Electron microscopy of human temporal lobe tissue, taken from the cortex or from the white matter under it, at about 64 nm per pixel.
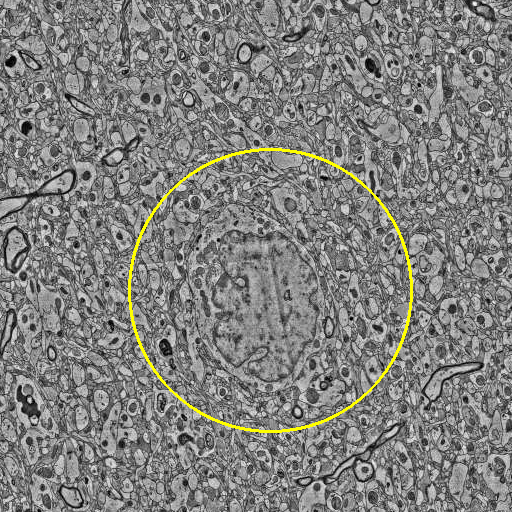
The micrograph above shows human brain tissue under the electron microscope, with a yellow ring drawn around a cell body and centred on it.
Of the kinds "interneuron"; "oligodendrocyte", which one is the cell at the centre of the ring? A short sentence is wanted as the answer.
The one at the centre of the ring is an interneuron.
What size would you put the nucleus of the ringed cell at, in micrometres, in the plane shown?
The nucleus comes to roughly 9 by 7 micrometres in this plane.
